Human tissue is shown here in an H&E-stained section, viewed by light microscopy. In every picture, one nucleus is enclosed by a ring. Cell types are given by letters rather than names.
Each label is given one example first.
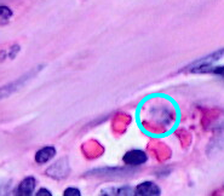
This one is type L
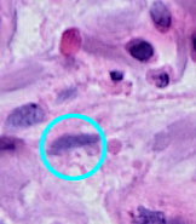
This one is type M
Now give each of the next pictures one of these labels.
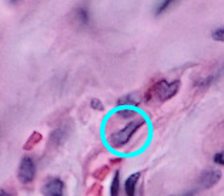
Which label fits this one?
type L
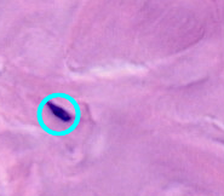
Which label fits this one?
type M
